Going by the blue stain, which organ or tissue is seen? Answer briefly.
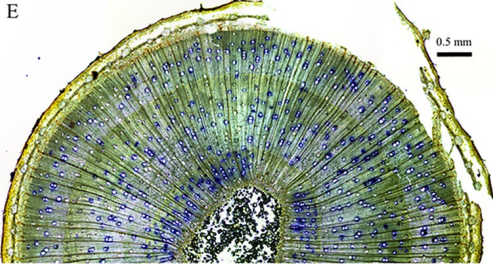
functional xylem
